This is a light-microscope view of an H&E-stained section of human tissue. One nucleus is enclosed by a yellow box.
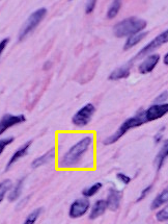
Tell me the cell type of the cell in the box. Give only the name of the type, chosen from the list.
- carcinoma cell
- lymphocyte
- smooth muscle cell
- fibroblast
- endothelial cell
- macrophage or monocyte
smooth muscle cell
